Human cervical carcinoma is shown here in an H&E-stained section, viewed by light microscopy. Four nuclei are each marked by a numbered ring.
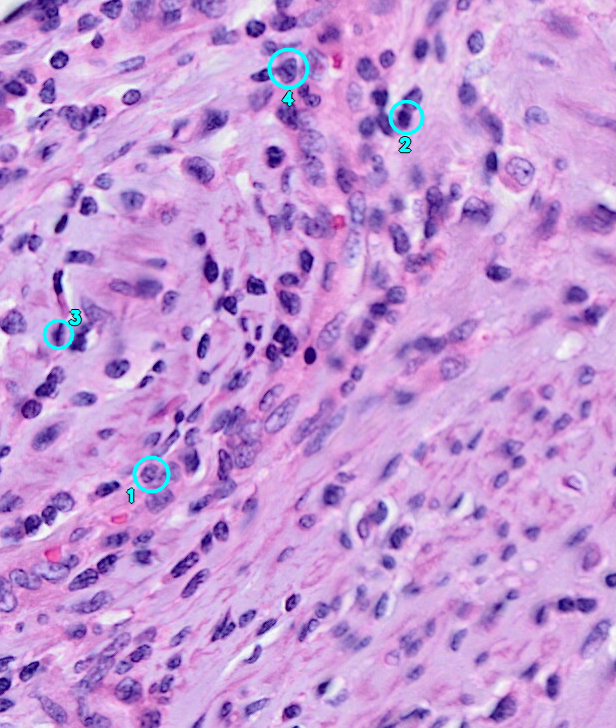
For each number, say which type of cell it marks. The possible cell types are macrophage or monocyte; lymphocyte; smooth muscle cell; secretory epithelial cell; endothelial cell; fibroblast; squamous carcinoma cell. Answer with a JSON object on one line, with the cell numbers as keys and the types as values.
{"1": "endothelial cell", "2": "lymphocyte", "3": "lymphocyte", "4": "lymphocyte"}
